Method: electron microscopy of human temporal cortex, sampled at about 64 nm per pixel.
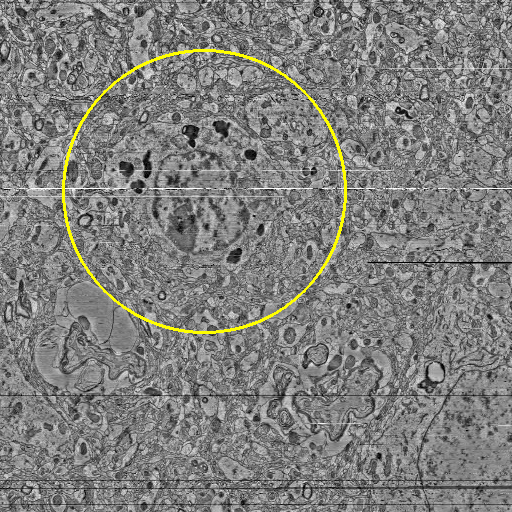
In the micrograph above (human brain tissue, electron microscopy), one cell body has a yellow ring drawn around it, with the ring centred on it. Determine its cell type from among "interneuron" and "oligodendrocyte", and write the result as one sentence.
The cell whose body is ringed is an interneuron.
